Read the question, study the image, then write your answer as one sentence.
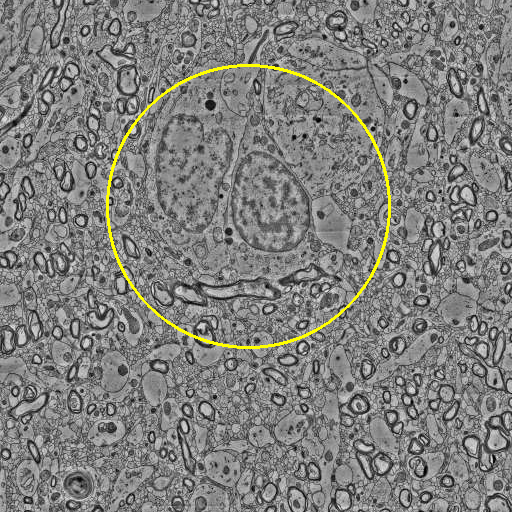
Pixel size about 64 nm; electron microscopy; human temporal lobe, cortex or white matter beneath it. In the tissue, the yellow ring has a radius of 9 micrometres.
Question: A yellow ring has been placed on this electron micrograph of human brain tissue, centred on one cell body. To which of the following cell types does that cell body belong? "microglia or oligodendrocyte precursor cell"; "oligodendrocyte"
That cell body belongs to an oligodendrocyte.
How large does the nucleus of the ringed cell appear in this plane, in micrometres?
In this plane the nucleus measures roughly 7 by 5 micrometers.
